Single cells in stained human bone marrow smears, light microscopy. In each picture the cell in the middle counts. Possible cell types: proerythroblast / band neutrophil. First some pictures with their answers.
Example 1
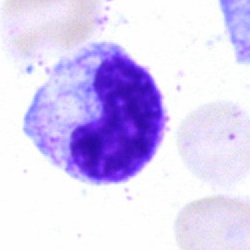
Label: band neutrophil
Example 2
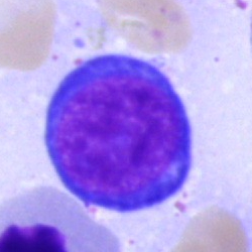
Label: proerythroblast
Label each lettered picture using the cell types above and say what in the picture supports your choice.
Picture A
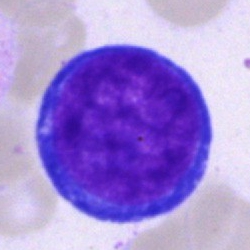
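proerythroblast. Reason: The cytoplasm forms only a thin rim around the nucleus.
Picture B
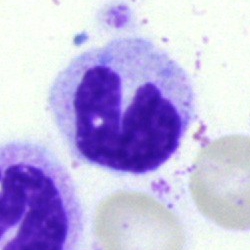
band neutrophil. Reason: The nucleus is deeply indented into a U shape with the notch opening upward.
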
